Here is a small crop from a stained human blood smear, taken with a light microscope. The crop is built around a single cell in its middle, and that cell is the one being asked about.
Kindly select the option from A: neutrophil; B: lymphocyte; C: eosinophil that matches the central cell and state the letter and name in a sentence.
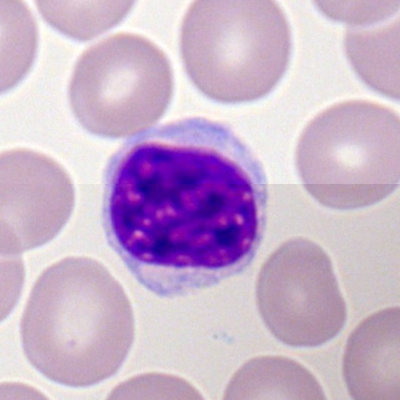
Option B gets it right: the cell in the middle is a lymphocyte.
